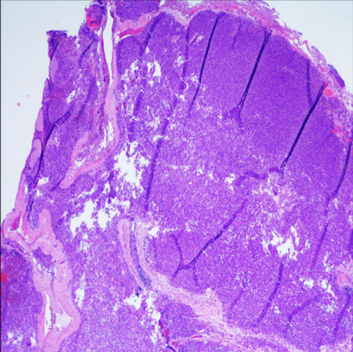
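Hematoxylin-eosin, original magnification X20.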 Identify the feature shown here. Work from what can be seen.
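Dense, solid, deeply purple cellular tissue fills most of the panel.
Hence: sheets of tumor cells.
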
